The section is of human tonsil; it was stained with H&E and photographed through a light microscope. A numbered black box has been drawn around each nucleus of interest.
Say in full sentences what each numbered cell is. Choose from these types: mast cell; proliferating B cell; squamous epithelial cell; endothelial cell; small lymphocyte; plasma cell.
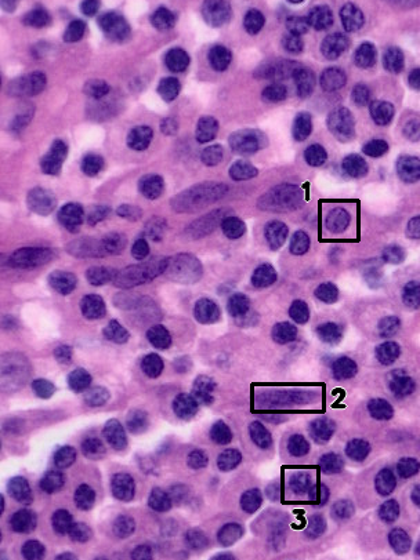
Cells 1 and 3 are plasma cells. Cell 2 is a squamous epithelial cell.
